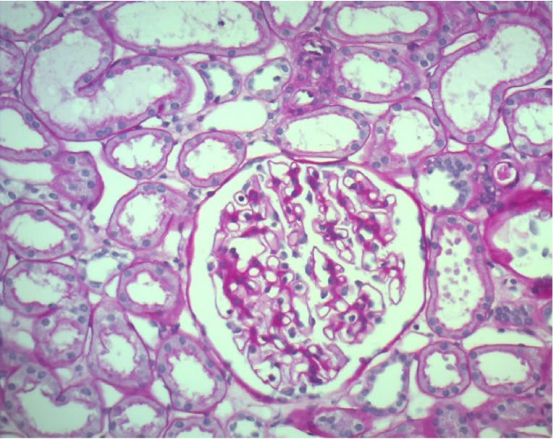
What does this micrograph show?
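A section of renal cortex with a single glomerulus in the centre, surrounded by cross-sectioned tubules. The glomerular tuft is made of open capillary loops whose walls and supporting matrix stain magenta, separated from the thin magenta capsule by a clear space. The surrounding tubules are lined by cuboidal epithelial cells with round nuclei and pale cytoplasm, resting on thin magenta basement membranes with narrow interstitium between them. The glomerulus shows only minor change, with patent loops and no obvious crowding of cells.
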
